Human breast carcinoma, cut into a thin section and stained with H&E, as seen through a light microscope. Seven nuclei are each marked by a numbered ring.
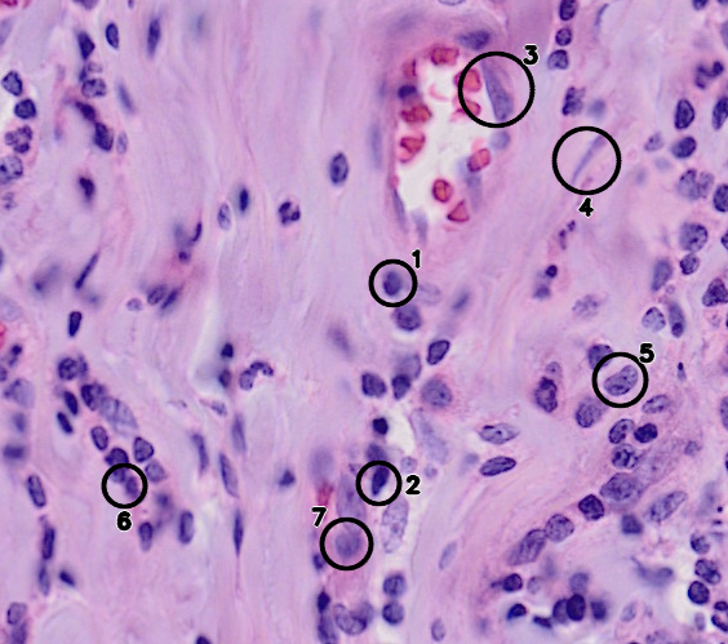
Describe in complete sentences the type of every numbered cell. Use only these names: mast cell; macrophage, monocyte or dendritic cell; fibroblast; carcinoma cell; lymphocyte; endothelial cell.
Cell 1 is a lymphocyte, cell 2 is a lymphocyte, cell 3 is an endothelial cell, cell 4 is a fibroblast, cell 5 is a lymphocyte, cell 6 is a lymphocyte and cell 7 is an endothelial cell.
